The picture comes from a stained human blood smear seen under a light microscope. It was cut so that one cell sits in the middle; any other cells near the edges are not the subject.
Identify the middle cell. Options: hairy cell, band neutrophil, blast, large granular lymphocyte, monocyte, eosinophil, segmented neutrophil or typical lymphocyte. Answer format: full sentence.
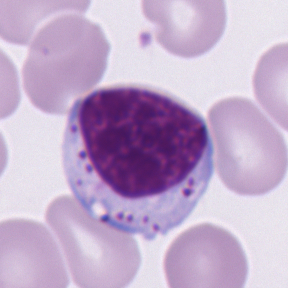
Framed in the middle of the crop is a large granular lymphocyte.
